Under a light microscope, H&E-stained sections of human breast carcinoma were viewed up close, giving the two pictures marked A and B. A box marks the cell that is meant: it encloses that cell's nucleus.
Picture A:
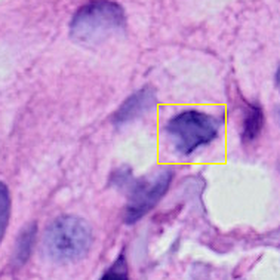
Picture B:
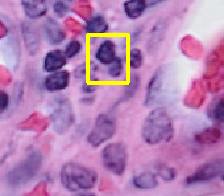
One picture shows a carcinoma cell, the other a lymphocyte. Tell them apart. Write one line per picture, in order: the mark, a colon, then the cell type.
A: carcinoma cell
B: lymphocyte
